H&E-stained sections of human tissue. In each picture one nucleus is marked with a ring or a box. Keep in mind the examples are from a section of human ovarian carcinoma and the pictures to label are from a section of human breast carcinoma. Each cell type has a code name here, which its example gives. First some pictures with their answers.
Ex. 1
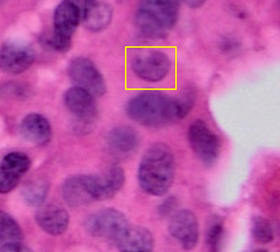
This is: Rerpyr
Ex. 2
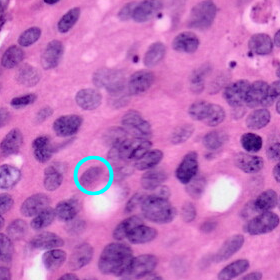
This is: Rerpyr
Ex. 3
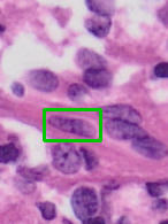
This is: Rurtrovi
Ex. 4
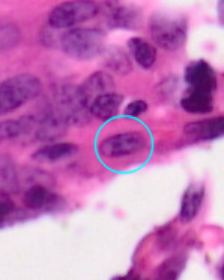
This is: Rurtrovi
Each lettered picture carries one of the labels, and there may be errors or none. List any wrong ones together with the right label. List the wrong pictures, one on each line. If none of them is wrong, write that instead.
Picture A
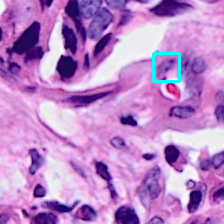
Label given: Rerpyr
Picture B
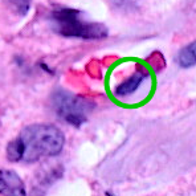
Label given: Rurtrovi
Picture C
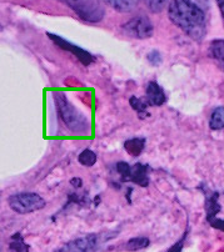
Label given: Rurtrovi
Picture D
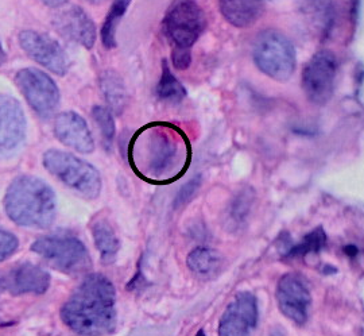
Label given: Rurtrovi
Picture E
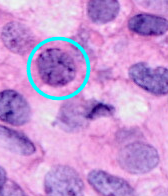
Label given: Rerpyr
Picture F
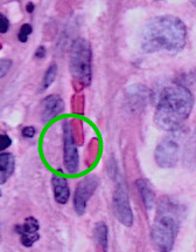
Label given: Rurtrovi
Wrong: A (Rerpyr); correct: Rurtrovi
